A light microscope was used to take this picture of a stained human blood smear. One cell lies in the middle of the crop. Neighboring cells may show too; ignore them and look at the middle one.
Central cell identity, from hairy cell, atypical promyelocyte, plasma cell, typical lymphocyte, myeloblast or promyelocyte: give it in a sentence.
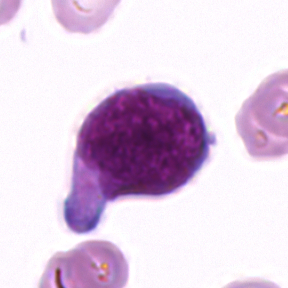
Standing at the centre of this crop is an atypical promyelocyte.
